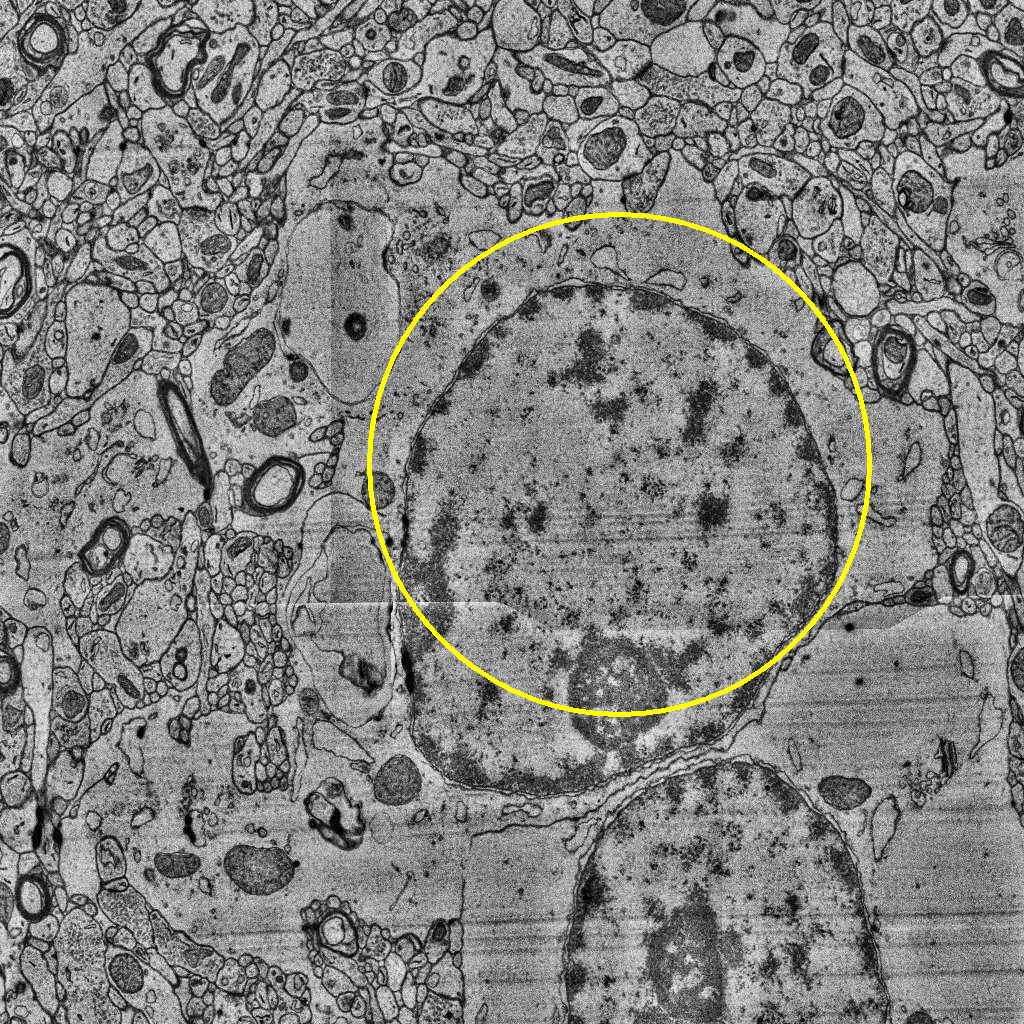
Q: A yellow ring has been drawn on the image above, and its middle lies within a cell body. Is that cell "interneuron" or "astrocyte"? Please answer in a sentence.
The ring's middle lies in the cell body of an astrocyte.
